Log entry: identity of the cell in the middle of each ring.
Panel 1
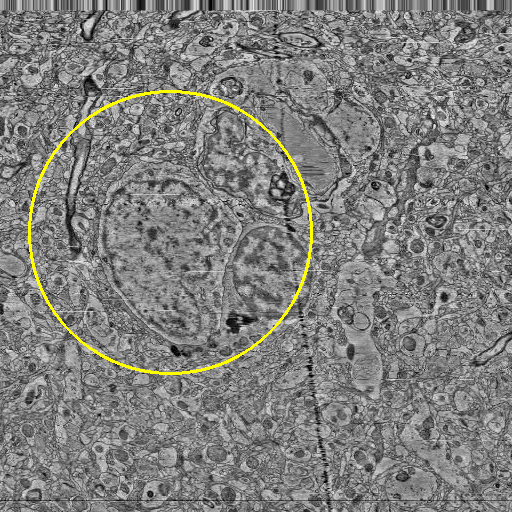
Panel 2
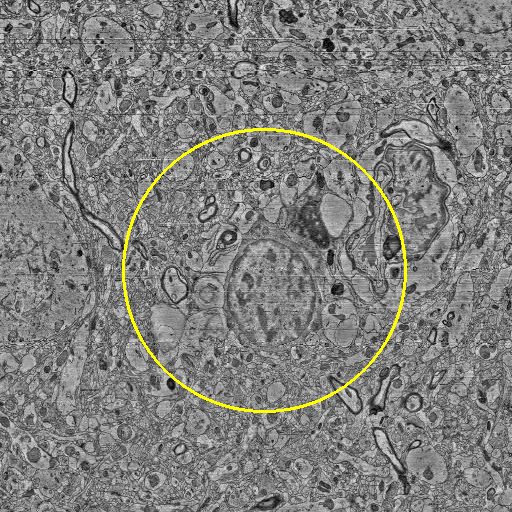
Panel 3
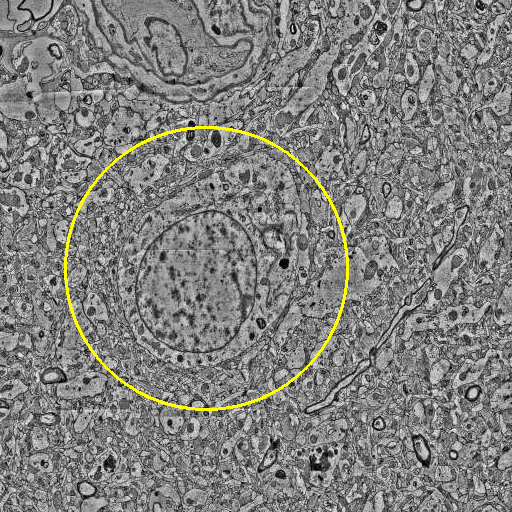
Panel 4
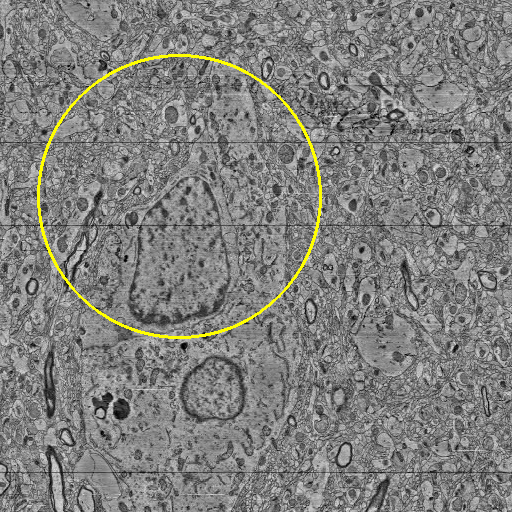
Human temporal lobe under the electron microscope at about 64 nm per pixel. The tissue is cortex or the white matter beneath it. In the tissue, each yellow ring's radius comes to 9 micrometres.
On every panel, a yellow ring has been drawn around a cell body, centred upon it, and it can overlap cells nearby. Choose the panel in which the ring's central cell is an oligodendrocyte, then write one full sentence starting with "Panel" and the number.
Panel 2 shows the requested cell sitting in the middle of its ring.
